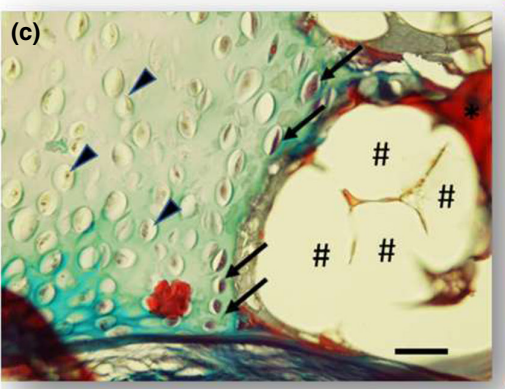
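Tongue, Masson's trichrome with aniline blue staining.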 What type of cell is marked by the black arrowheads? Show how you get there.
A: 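Oval cells each inside a clear lacuna. Cells scattered in a pale homogeneous matrix.
Hence: Chondrocytes.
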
